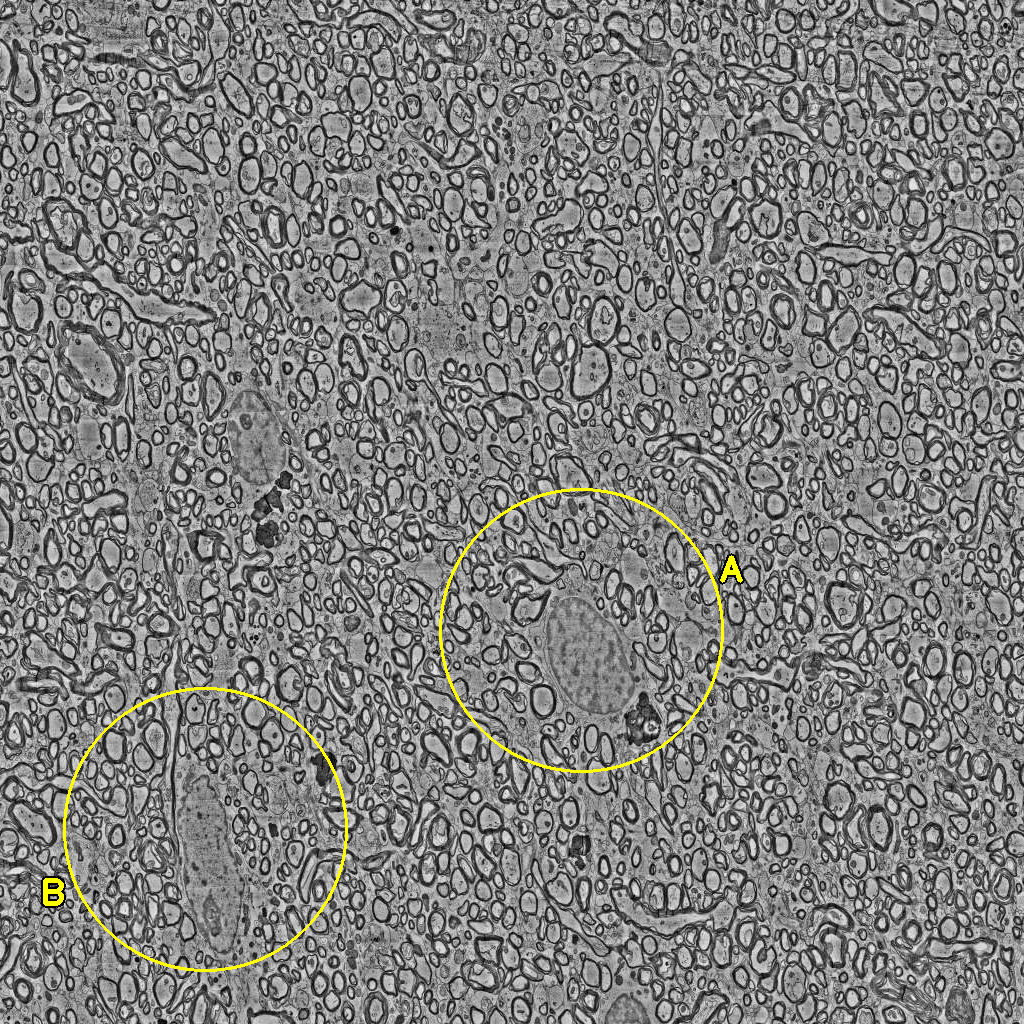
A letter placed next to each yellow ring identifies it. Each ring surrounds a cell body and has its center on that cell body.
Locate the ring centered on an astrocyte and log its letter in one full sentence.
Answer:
Ring B has at its center the cell that the task asks for.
